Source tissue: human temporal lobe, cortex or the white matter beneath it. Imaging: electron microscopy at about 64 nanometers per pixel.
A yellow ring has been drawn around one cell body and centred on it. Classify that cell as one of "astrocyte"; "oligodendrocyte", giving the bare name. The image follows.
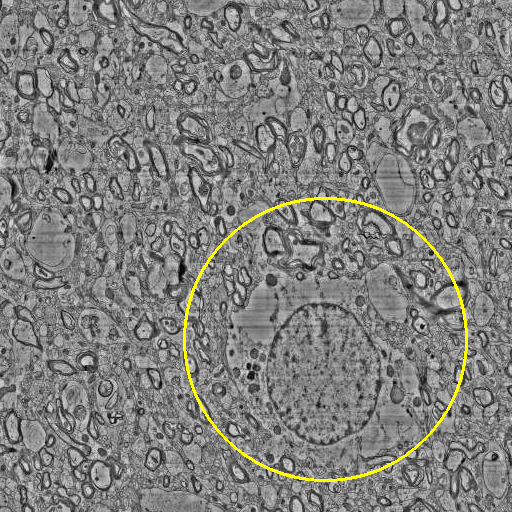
astrocyte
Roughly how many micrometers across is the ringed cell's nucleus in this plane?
The ringed cell's nucleus is about 9 micrometres long and 7 micrometres wide in this plane.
